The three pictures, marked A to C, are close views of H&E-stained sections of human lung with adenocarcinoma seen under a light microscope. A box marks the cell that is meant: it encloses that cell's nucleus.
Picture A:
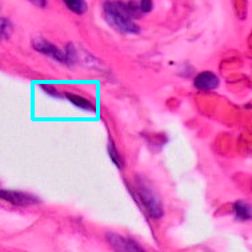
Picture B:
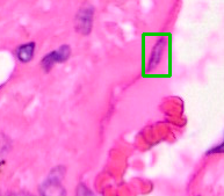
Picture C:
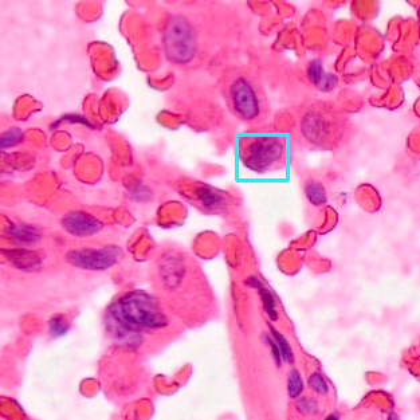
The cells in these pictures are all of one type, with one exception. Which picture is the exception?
C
